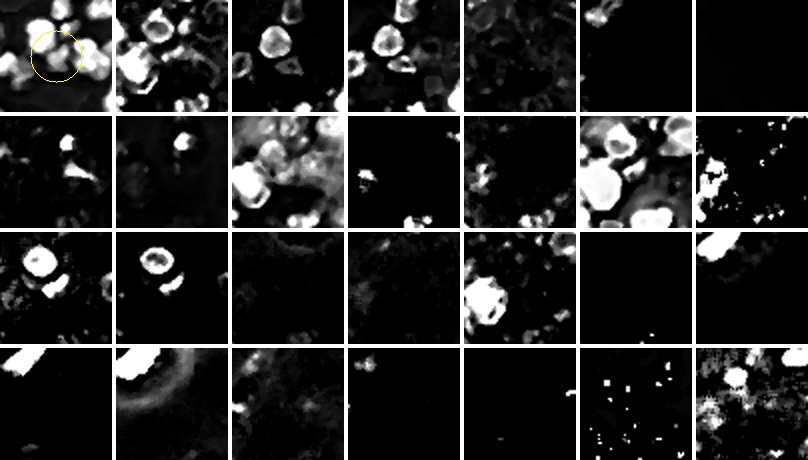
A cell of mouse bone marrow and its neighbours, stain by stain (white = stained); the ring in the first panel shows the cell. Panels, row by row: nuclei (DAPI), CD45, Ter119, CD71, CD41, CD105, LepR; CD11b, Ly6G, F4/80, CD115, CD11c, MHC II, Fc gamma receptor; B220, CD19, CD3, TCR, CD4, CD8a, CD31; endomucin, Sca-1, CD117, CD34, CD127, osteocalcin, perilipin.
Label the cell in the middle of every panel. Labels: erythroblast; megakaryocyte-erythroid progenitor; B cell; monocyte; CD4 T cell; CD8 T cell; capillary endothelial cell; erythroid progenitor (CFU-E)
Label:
B cell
